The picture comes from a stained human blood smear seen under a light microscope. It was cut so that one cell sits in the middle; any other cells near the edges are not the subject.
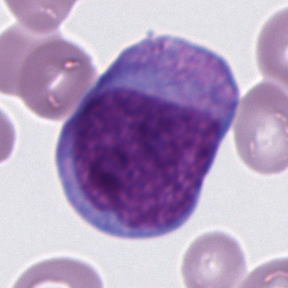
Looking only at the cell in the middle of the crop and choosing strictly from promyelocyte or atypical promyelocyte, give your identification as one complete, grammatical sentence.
In this crop, the cell at the very middle is an atypical promyelocyte.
